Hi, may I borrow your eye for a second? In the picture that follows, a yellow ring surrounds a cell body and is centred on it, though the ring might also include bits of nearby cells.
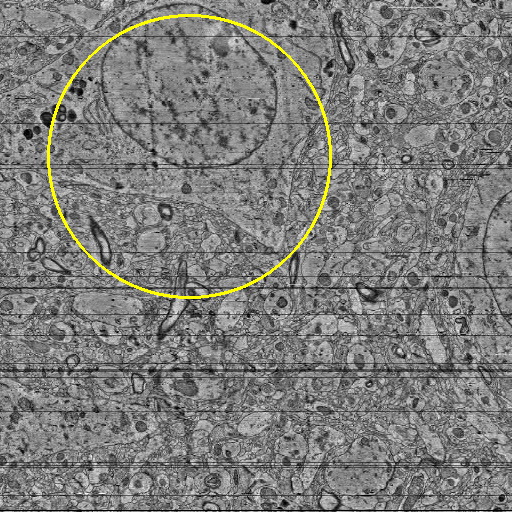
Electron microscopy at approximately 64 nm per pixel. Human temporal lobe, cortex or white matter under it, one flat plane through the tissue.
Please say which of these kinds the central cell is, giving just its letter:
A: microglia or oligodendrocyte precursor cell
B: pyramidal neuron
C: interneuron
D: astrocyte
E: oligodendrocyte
B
